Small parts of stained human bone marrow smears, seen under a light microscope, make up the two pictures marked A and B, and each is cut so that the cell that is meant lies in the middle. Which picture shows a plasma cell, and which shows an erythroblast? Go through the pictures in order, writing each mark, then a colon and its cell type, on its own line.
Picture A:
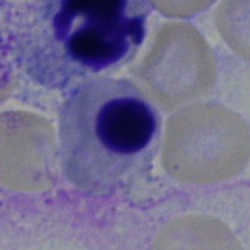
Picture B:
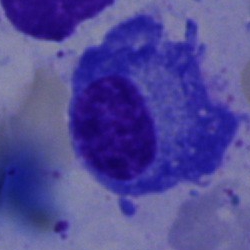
A: erythroblast
B: plasma cell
